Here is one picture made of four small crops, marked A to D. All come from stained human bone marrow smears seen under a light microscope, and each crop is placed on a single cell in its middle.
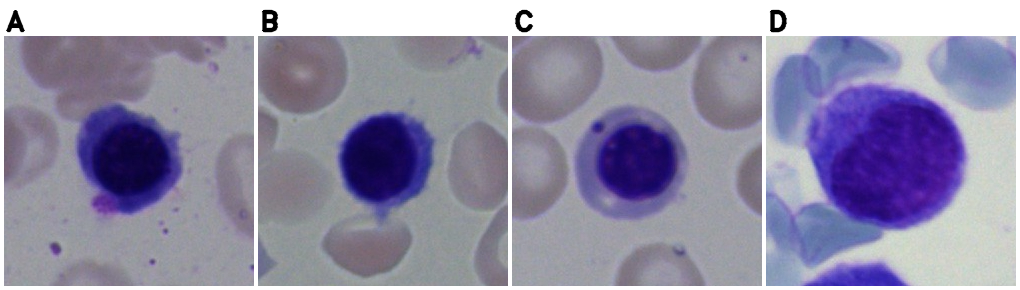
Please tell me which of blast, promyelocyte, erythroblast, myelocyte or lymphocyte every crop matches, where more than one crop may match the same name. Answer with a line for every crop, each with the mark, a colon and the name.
A: erythroblast
B: erythroblast
C: erythroblast
D: blast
